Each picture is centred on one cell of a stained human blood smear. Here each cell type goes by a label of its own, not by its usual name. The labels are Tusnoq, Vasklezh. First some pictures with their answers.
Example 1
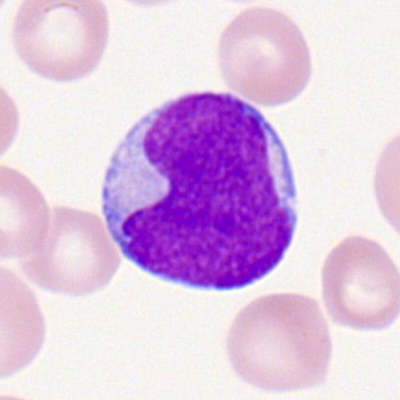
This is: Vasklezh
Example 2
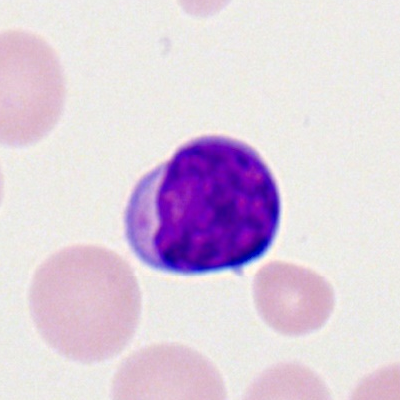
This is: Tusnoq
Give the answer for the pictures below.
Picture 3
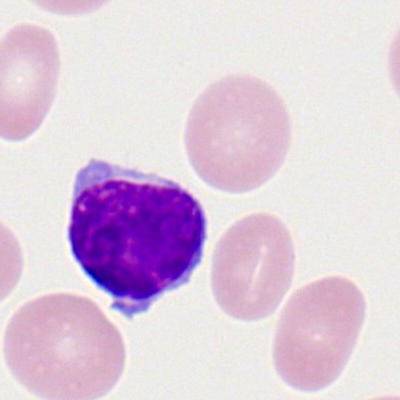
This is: Tusnoq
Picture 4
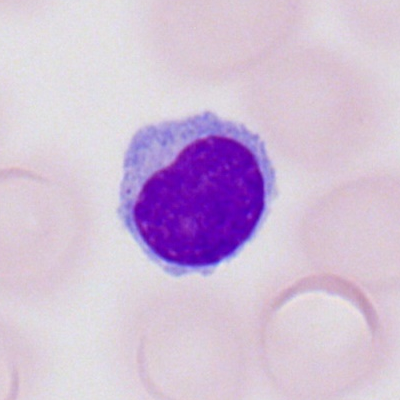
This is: Tusnoq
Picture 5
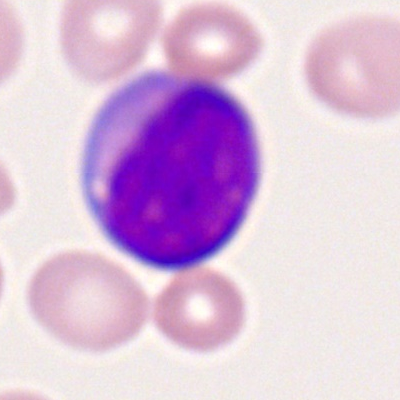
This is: Vasklezh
